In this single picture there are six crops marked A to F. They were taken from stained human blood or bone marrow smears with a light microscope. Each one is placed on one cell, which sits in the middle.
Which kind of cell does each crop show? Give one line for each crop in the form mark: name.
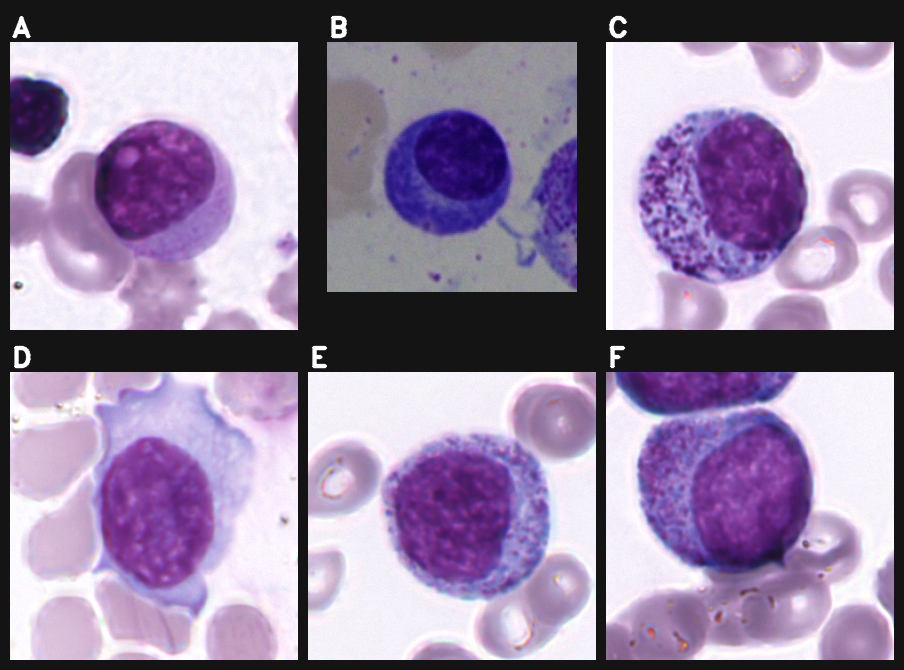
A: plasma cell
B: plasma cell
C: promyelocyte
D: plasma cell
E: promyelocyte
F: promyelocyte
